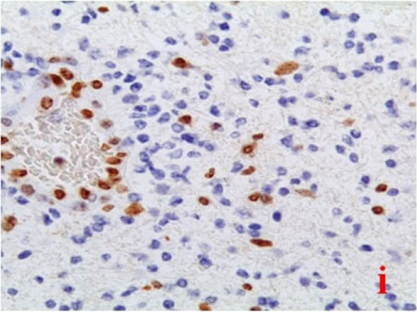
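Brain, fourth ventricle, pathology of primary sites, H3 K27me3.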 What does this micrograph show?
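Tumour tissue in which most nuclei are counterstained blue and lack brown colour, scattered in a pale fibrillar background. At the left a vessel containing pale red blood cells is rimmed by nuclei that are stained brown. A few other scattered brown nuclei lie among the blue tumour cell nuclei. The tumour cells have lost the nuclear stain while the cells lining the vessel, the endothelial cells, keep it.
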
